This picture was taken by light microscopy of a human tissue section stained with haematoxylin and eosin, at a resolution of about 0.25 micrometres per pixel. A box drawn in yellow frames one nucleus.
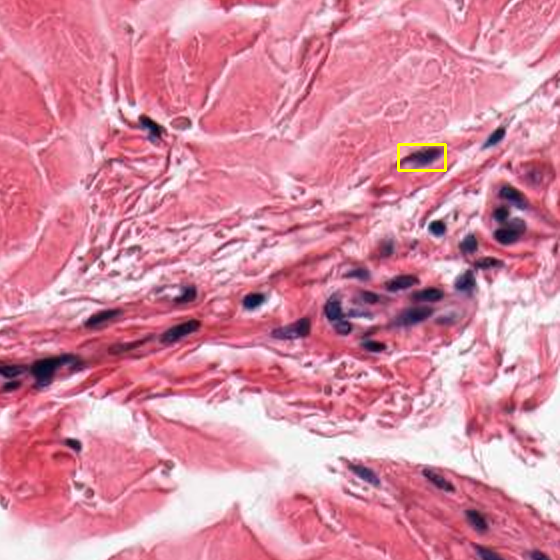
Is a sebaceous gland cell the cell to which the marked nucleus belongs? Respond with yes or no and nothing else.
no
